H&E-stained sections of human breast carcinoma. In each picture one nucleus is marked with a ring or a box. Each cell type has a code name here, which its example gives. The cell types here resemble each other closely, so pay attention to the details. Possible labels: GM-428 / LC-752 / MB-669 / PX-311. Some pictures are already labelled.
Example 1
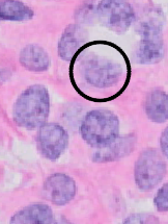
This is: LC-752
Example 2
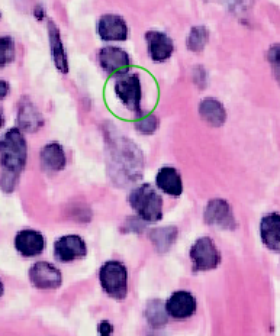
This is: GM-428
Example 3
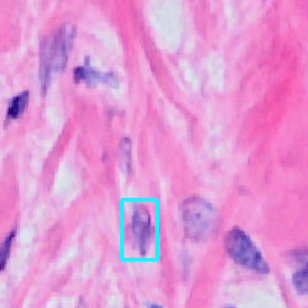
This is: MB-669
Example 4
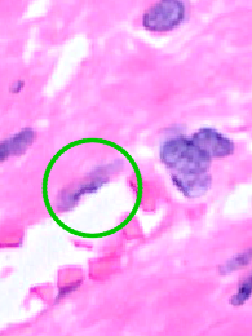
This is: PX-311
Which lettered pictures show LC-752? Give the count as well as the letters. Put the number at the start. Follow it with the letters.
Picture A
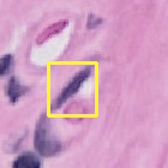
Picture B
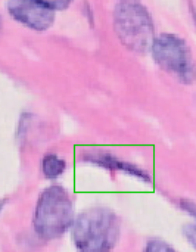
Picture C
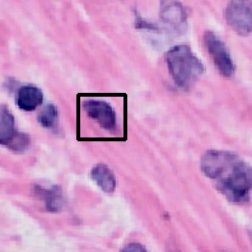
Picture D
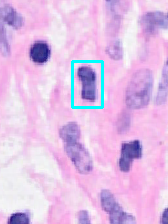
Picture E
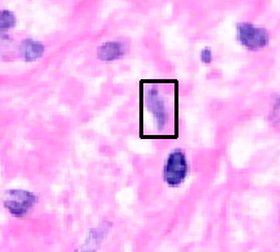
0, none of them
